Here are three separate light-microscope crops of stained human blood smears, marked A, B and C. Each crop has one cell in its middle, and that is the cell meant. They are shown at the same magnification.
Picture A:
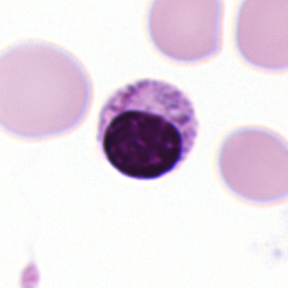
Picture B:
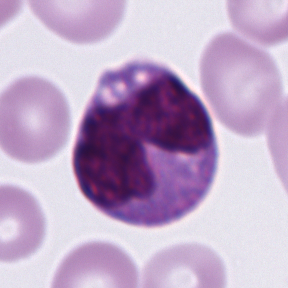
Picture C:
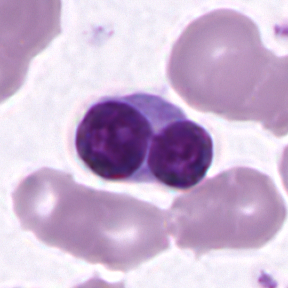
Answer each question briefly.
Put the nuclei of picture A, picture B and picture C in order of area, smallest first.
A, C, B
